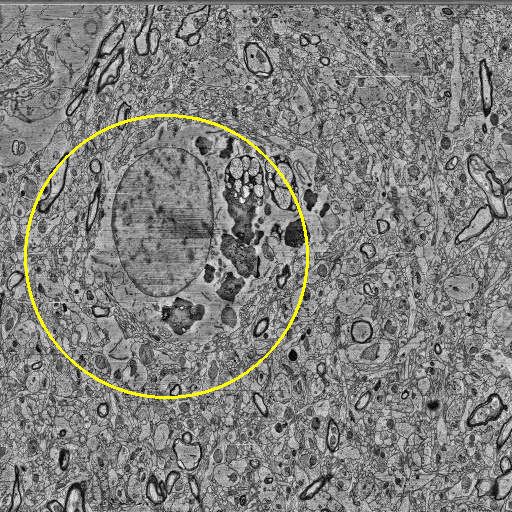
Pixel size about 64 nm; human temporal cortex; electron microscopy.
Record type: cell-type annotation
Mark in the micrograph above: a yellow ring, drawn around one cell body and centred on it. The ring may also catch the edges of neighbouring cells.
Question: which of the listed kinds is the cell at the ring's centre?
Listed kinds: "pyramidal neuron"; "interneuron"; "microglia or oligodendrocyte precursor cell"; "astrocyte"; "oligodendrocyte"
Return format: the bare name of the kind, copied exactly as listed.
astrocyte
